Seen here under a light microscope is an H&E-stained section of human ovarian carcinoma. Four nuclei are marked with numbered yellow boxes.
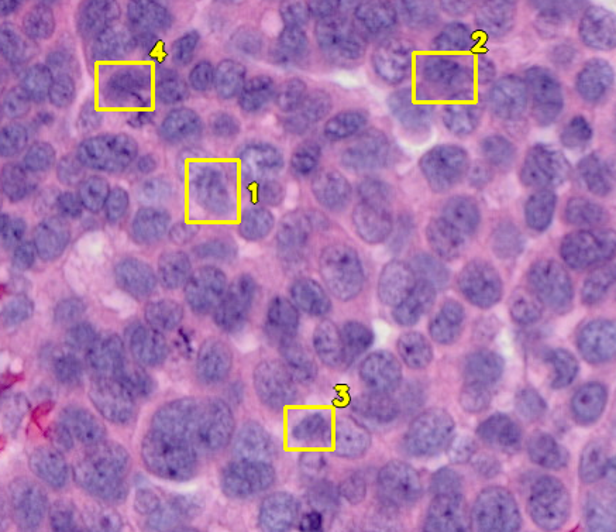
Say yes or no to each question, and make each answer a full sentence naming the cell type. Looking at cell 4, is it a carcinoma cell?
Yes, to put it simply, cell number 4 is a carcinoma cell.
